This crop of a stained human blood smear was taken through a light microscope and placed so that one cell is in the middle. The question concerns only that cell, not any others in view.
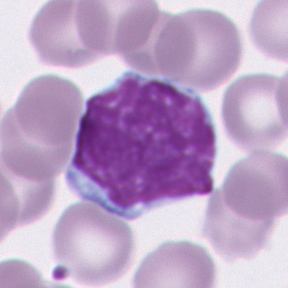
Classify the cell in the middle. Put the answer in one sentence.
Positioned in the middle of the crop is a lymphocyte.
